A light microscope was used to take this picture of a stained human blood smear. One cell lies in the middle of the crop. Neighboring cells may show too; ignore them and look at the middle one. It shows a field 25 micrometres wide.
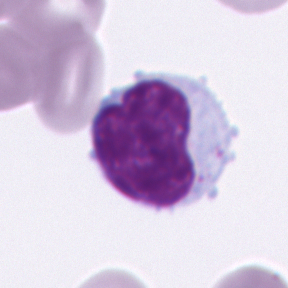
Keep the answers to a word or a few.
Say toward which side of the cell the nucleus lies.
left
